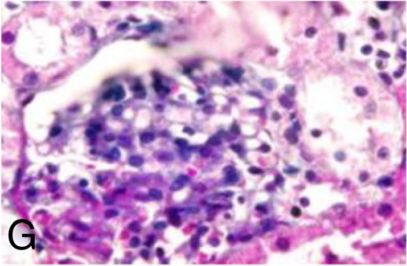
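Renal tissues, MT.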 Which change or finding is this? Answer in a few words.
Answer: Increased cellularity of glomerular tuft.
